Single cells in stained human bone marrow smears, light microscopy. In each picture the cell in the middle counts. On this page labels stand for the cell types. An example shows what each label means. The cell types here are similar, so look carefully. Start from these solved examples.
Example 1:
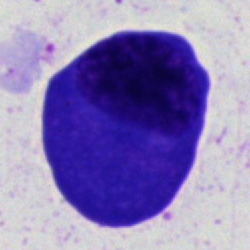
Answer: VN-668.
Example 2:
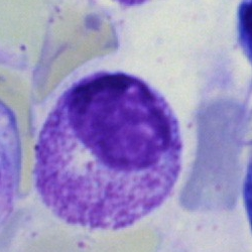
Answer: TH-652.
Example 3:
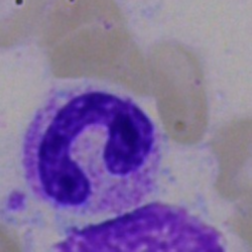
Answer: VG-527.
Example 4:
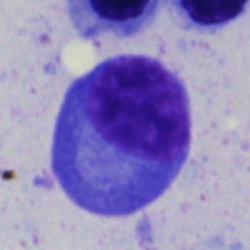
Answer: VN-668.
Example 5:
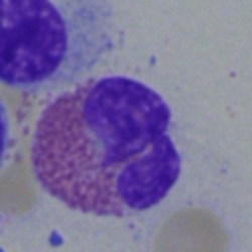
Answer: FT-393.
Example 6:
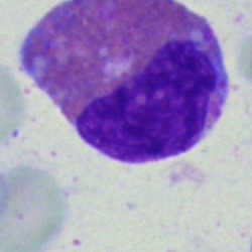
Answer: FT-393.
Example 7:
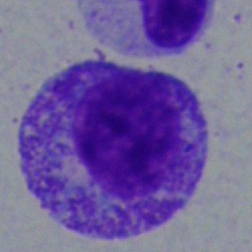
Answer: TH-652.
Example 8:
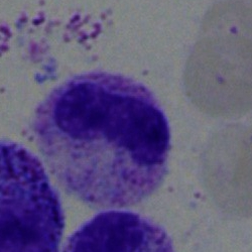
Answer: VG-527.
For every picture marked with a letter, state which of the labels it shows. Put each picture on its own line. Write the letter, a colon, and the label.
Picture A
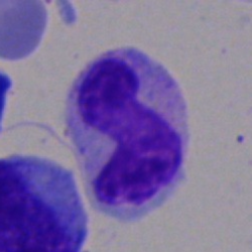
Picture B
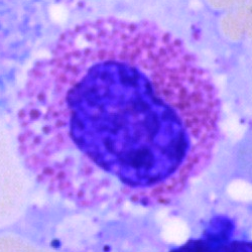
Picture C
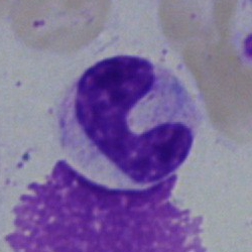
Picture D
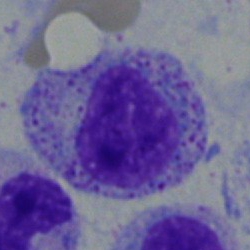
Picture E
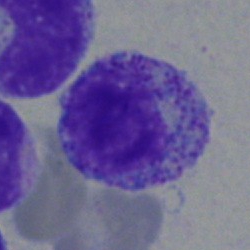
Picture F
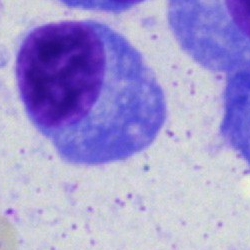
A: VG-527.
B: FT-393.
C: VG-527.
D: TH-652.
E: TH-652.
F: VN-668.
